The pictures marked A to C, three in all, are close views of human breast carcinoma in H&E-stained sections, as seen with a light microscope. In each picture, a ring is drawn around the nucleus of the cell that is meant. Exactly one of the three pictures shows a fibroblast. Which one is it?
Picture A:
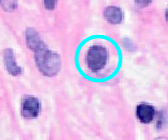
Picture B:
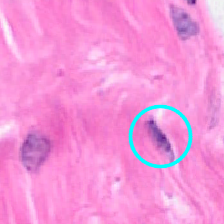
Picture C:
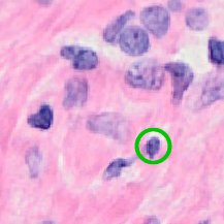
B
